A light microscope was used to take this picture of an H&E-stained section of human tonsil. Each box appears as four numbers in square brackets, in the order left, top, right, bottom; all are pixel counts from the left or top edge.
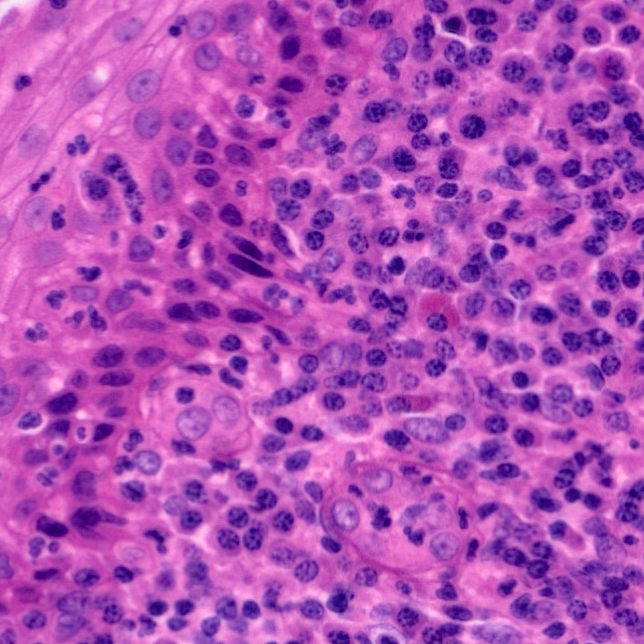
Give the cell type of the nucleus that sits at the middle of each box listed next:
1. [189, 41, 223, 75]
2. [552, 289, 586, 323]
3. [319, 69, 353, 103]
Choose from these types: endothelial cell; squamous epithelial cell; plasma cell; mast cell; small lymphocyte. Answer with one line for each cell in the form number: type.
1: squamous epithelial cell
2: plasma cell
3: plasma cell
